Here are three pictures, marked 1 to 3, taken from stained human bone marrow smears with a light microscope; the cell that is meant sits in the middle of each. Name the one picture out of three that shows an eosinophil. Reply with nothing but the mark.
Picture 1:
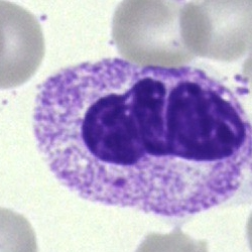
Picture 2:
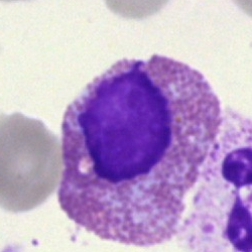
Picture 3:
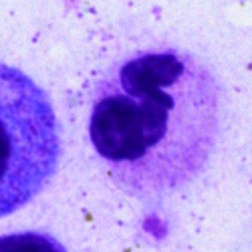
2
